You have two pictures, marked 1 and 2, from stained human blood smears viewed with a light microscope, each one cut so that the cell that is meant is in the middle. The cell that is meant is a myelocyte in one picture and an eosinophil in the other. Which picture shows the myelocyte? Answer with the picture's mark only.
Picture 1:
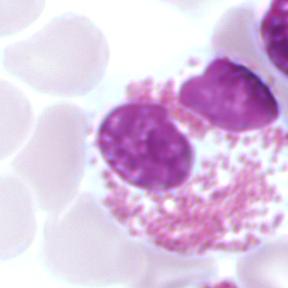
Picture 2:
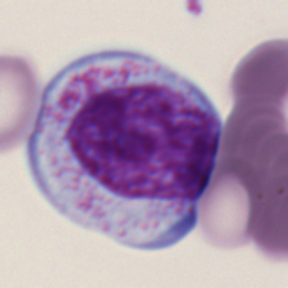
2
